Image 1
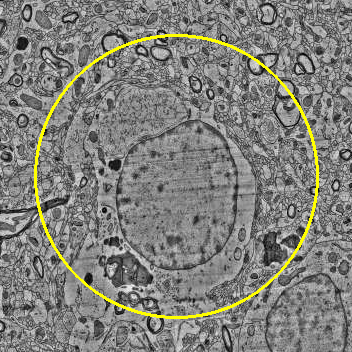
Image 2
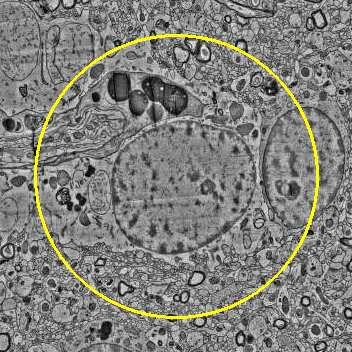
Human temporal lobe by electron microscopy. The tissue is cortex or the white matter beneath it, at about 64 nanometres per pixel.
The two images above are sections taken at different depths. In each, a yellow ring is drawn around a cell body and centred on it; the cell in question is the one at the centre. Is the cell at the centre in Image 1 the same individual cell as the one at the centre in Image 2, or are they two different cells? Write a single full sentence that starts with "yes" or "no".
No, the two rings outline two separate cells in this micrograph.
